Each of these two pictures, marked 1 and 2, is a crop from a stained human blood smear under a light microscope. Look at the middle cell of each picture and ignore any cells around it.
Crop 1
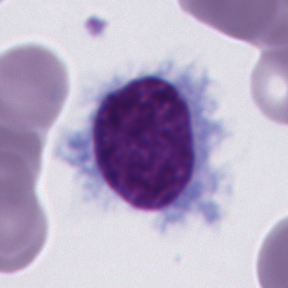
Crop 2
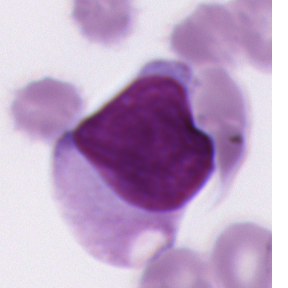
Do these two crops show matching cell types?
no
